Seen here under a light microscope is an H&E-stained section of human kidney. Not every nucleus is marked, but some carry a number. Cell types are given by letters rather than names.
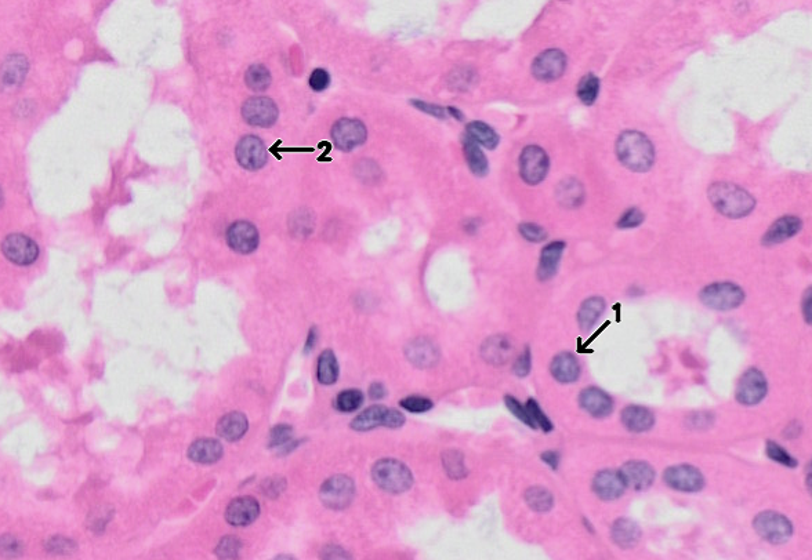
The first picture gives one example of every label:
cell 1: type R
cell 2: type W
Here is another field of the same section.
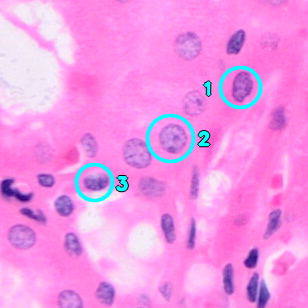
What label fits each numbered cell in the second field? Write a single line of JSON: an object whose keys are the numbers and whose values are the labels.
{"1": "type W", "2": "type W", "3": "type R"}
